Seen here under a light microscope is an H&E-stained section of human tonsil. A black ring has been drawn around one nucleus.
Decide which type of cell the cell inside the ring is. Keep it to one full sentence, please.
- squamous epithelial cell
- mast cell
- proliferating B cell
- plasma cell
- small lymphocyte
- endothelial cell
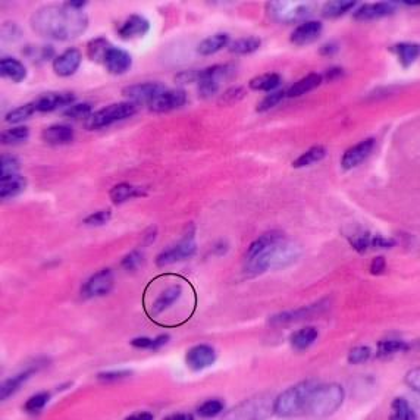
As to its cell type, the cell inside the ring is a mast cell.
